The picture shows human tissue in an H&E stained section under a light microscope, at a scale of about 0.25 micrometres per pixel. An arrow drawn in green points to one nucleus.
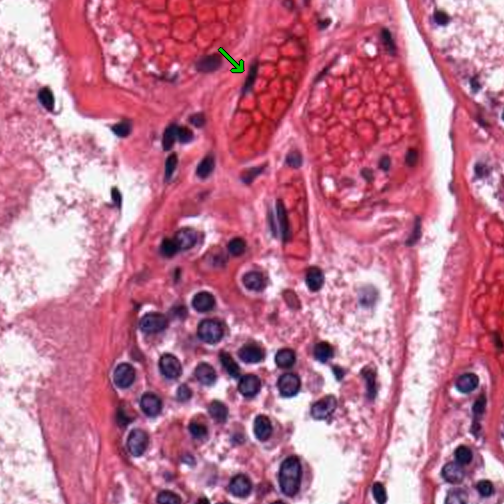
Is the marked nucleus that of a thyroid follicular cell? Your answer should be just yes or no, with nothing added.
no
